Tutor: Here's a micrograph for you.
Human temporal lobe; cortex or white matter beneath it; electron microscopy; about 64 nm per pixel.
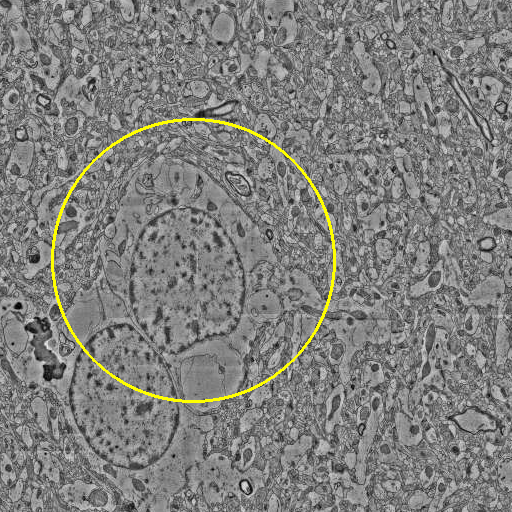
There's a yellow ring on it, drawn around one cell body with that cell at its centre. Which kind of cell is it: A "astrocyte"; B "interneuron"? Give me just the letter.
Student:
A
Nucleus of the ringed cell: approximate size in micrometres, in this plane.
In this plane, the nucleus is roughly 9 by 7 micrometres.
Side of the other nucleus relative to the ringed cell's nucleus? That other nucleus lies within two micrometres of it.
That other nucleus lies to the lower left of it.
